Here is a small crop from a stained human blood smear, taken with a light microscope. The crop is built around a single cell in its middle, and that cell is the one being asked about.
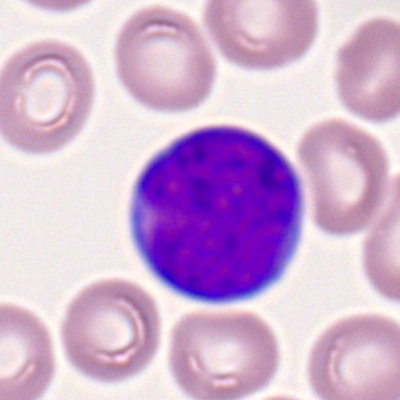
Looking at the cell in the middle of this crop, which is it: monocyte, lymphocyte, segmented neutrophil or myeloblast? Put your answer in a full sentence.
Among the cells in view, the one in the middle is a myeloblast.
